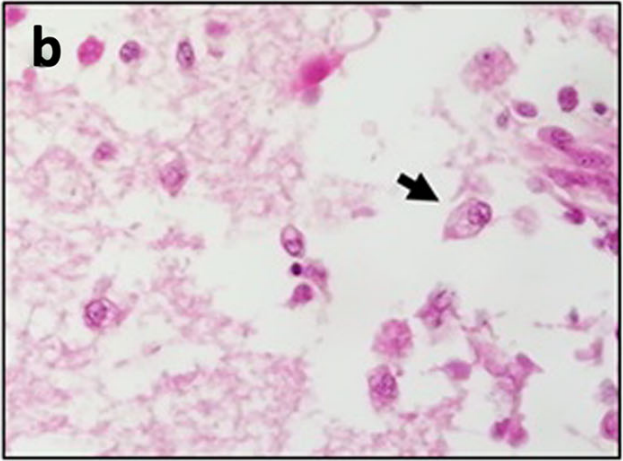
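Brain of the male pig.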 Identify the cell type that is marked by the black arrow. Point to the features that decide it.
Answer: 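It lies free in a loose, rarefied area of tissue. That points to this answer: Gitter cells.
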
